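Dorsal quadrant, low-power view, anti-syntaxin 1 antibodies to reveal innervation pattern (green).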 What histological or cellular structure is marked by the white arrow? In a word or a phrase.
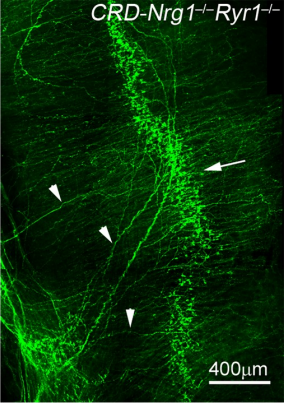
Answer: Nerve terminals.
